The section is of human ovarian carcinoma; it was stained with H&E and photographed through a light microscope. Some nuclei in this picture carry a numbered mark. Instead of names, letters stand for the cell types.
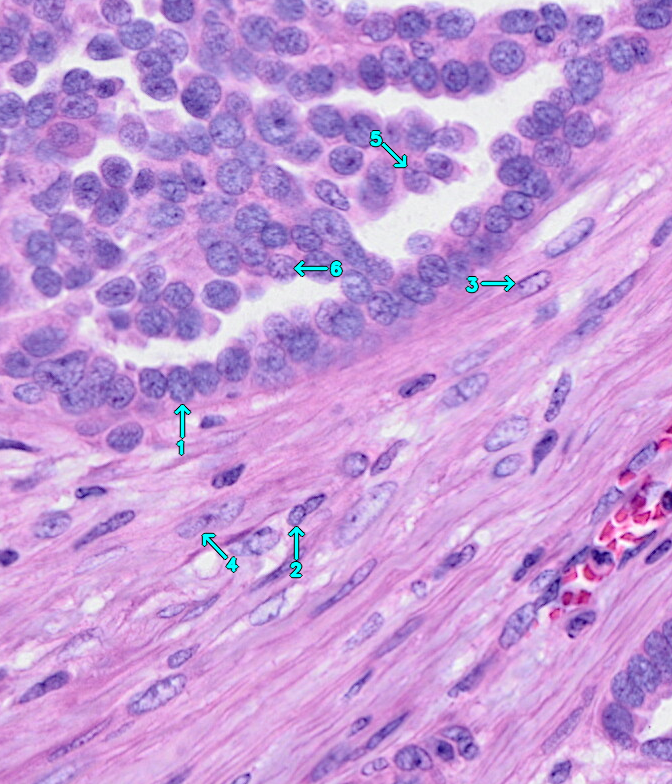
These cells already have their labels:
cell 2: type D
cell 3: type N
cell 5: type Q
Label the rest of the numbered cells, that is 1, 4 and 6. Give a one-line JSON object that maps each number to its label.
{"1": "type Q", "4": "type N", "6": "type Q"}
